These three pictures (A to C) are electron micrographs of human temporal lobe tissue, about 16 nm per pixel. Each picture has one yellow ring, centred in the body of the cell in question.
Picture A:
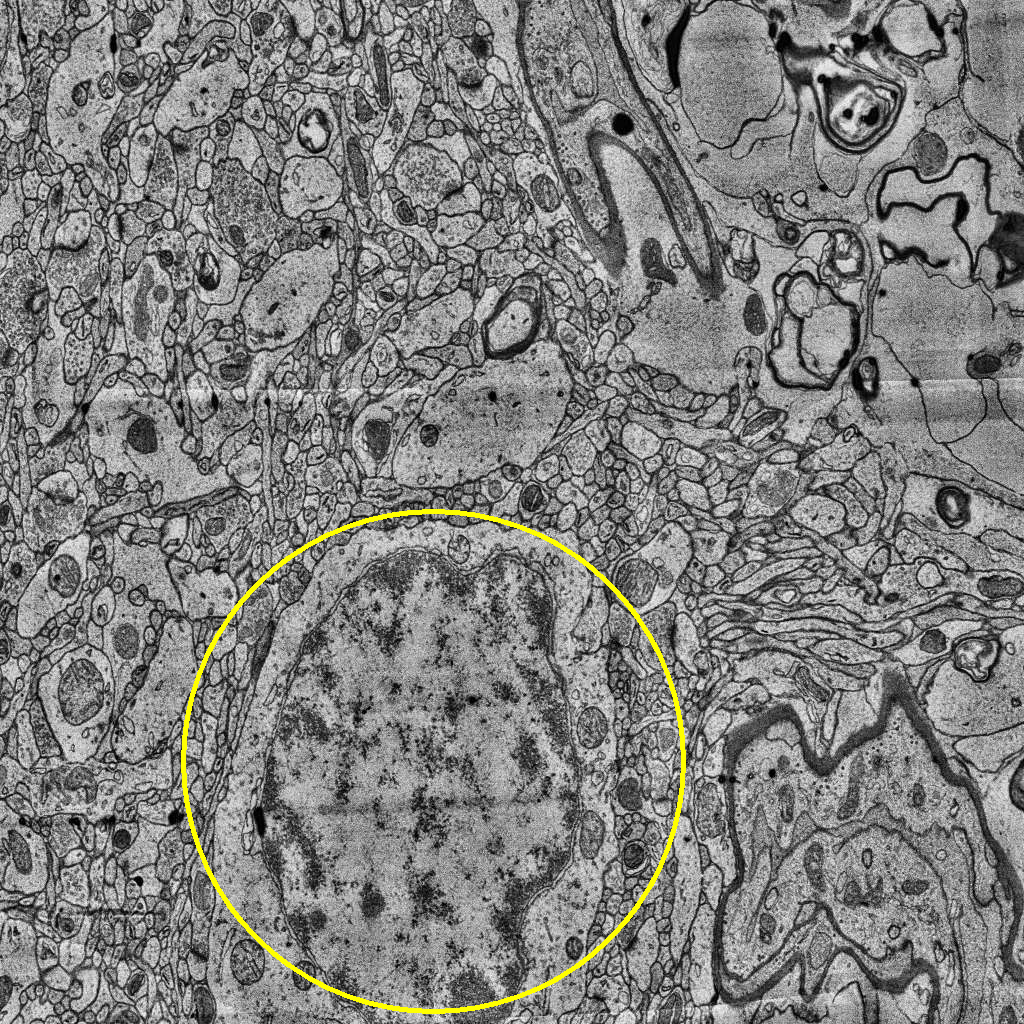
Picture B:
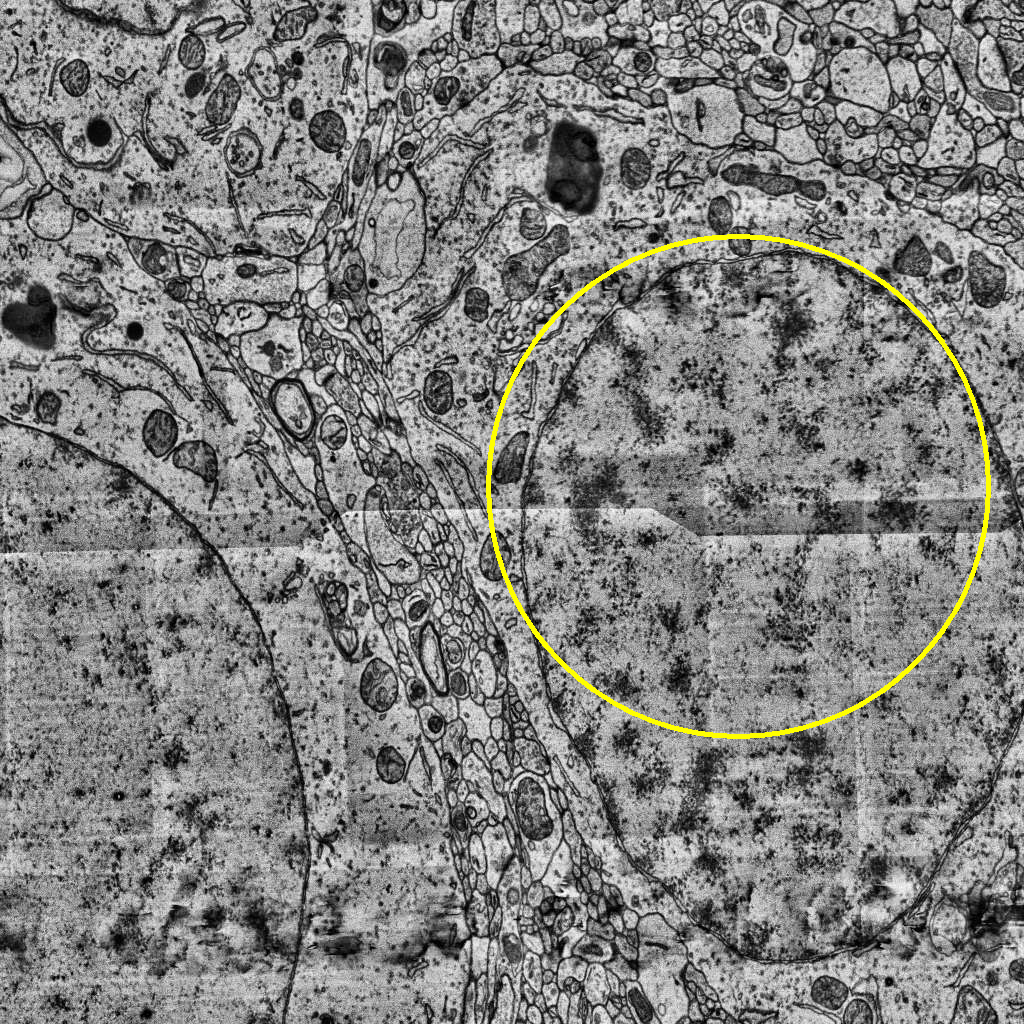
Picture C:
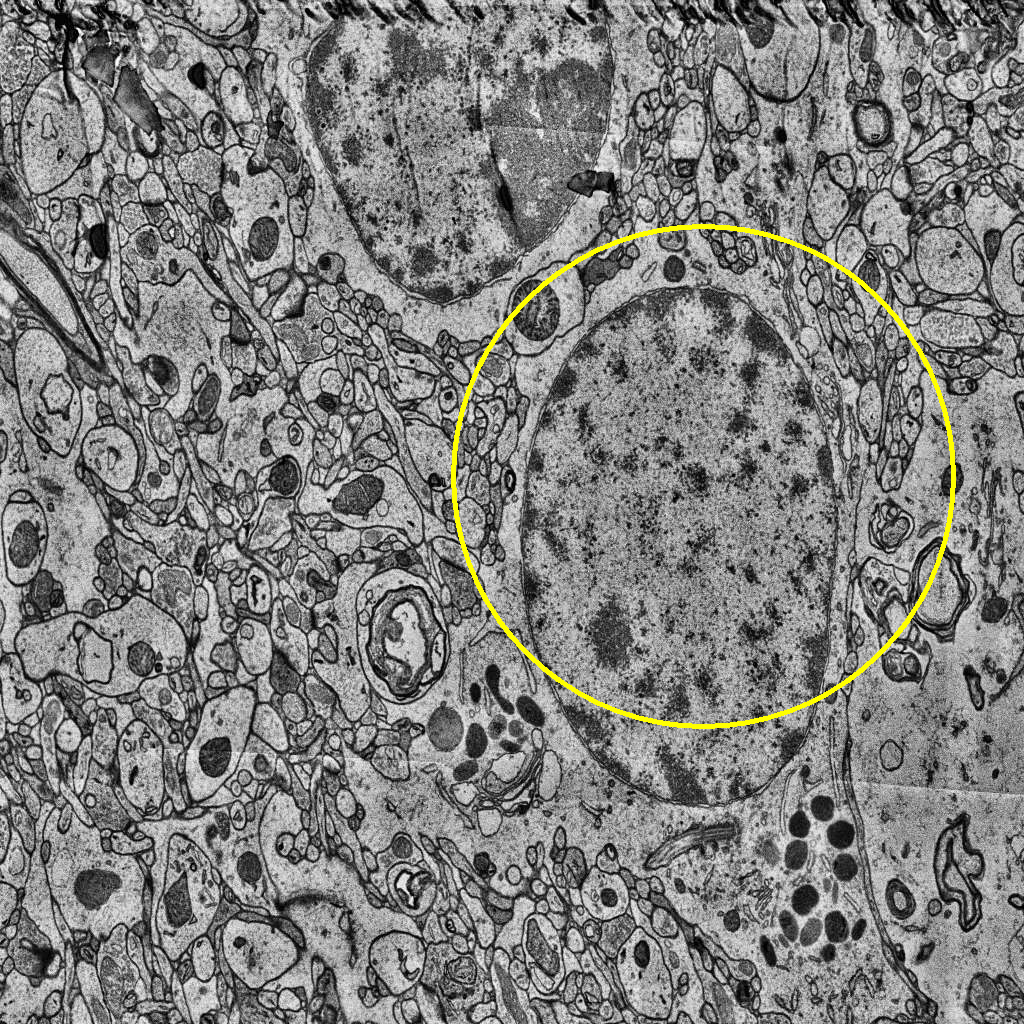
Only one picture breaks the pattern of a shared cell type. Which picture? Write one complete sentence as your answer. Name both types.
The others show interneurons, but picture C shows an astrocyte.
